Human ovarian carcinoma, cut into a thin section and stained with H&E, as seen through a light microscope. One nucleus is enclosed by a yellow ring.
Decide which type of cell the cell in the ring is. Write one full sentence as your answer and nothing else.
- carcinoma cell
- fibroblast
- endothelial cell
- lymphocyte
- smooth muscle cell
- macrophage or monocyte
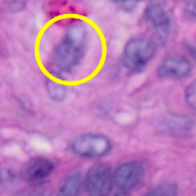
With respect to cell type, the cell in the ring is an endothelial cell.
